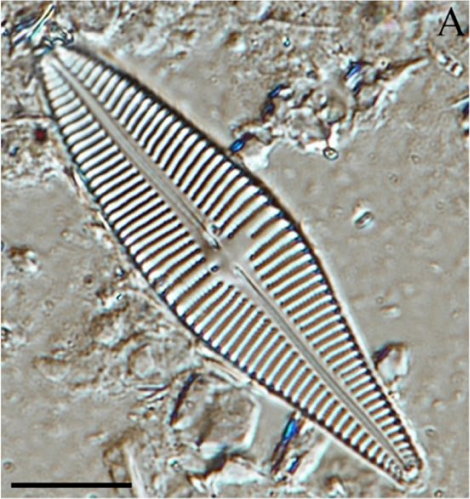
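A thin raphe runs along the midline, with a small central area at the middle of the valve. Dark, evenly spaced transverse striae cover both sides of the raphe and reach the margins. The valve lies among fine sediment debris.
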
